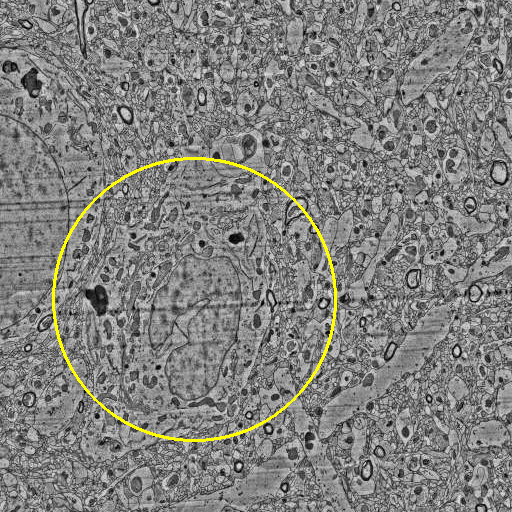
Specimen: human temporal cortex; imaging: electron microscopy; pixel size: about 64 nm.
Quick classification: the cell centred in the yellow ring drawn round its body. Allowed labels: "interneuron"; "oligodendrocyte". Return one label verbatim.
interneuron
